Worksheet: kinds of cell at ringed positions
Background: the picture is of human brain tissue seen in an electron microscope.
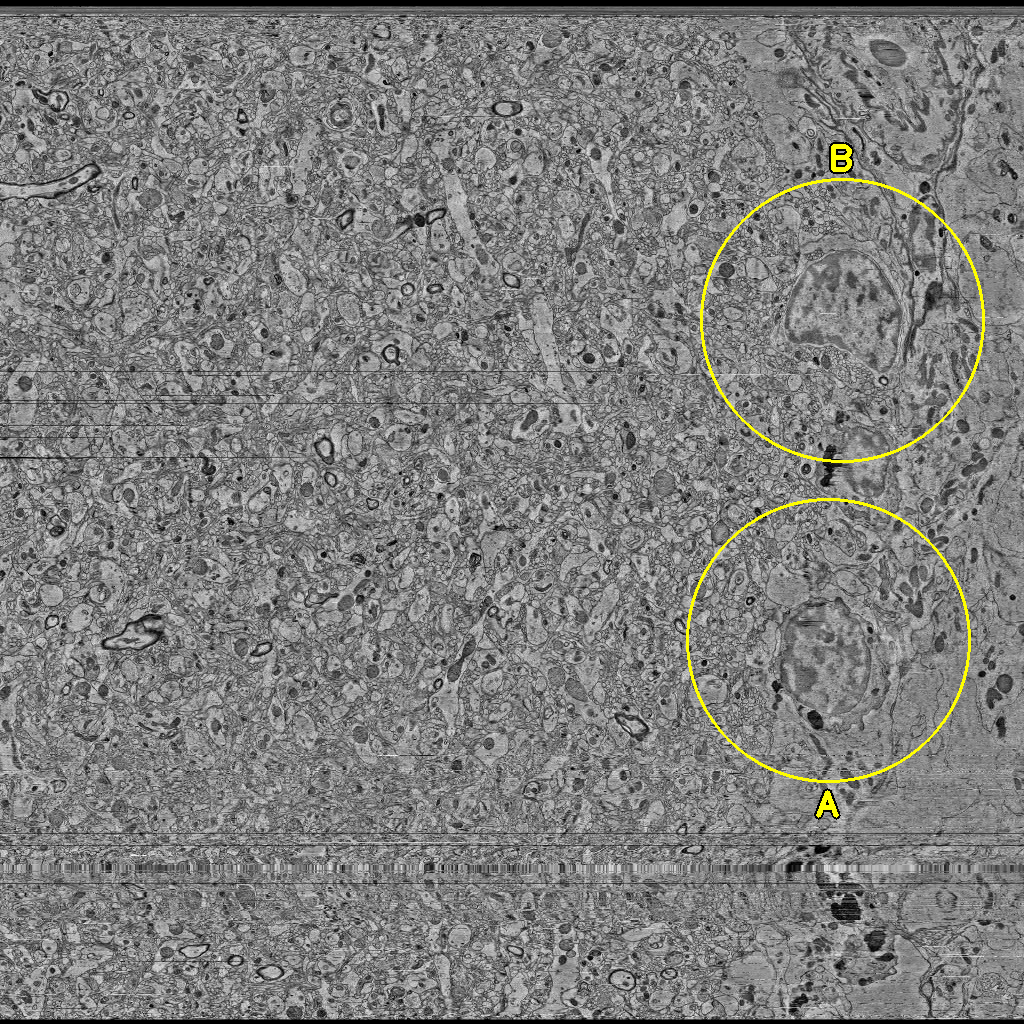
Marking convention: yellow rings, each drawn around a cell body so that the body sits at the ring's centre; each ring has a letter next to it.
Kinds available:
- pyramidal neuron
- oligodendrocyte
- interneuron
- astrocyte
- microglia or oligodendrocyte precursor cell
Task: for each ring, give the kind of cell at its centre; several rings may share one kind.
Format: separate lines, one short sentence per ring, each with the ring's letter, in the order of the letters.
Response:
Ring A is drawn around an oligodendrocyte.
Ring B is drawn around a microglial cell or oligodendrocyte precursor cell.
